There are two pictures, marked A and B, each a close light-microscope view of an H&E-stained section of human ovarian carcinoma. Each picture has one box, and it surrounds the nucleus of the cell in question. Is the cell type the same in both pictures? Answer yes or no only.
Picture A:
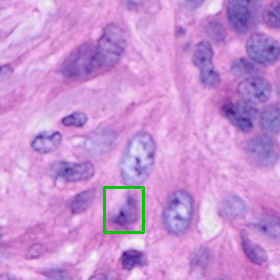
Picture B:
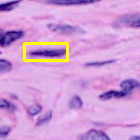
no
